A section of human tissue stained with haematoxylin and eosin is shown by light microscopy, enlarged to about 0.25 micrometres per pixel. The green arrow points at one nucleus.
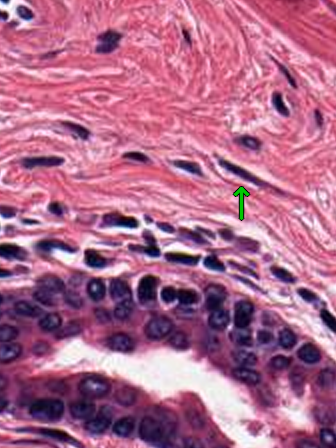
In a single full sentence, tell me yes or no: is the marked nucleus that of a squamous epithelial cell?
No, the cell bearing the marked nucleus is not a squamous epithelial cell but a supporting cell.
